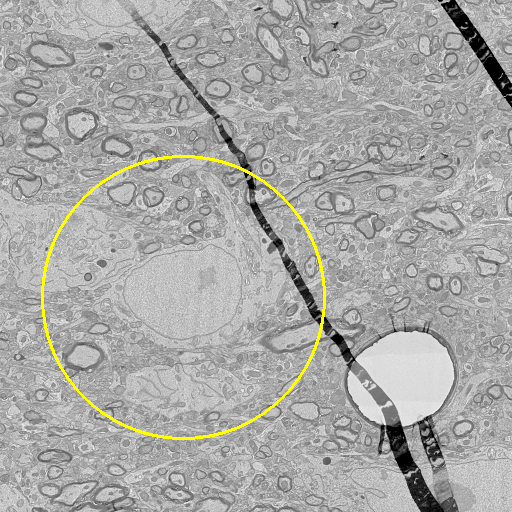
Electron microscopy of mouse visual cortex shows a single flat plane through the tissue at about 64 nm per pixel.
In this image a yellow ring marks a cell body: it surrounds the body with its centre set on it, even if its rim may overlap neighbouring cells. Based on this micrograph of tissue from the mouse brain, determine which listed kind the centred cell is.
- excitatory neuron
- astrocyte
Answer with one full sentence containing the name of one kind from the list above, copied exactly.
It is an excitatory neuron whose body the yellow ring encloses at its centre.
